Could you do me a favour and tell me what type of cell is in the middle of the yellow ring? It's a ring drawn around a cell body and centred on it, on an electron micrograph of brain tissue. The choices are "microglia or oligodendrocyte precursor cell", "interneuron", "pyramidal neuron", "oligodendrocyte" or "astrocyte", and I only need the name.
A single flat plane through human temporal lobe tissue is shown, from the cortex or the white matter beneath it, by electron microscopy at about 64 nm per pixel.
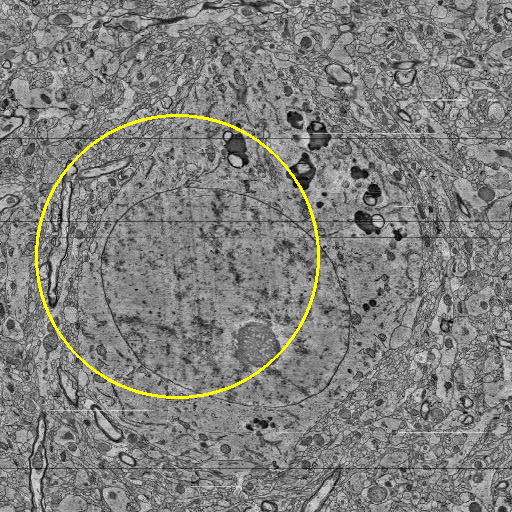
pyramidal neuron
